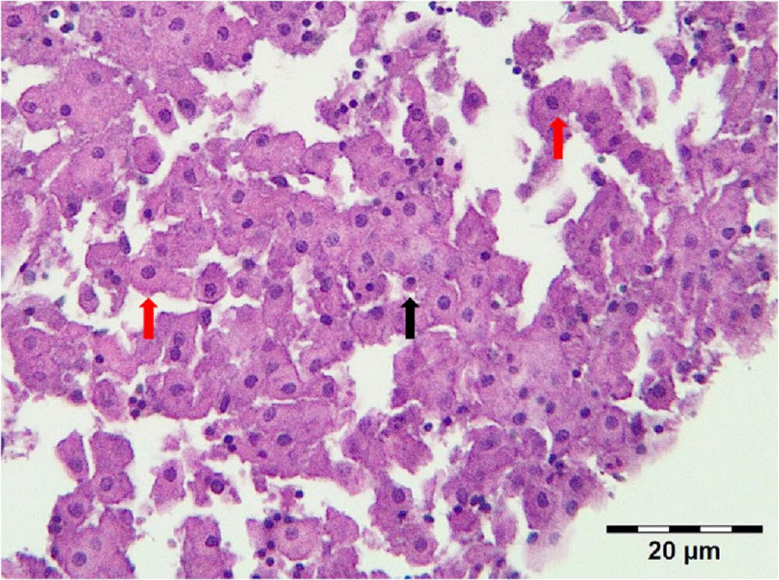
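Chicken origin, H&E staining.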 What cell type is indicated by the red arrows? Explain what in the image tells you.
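Hepatocytes. Large polygonal cells with abundant pink cytoplasm. Round, centrally placed nuclei. Cells lie packed together in cords and clusters.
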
